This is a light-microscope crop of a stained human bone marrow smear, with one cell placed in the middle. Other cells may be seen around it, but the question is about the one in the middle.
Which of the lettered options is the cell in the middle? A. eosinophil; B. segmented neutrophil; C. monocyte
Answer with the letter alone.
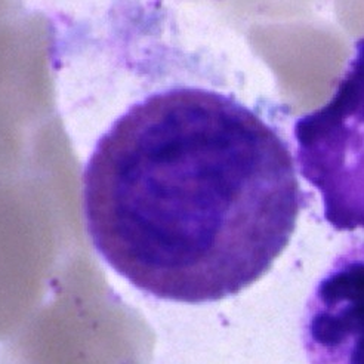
A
